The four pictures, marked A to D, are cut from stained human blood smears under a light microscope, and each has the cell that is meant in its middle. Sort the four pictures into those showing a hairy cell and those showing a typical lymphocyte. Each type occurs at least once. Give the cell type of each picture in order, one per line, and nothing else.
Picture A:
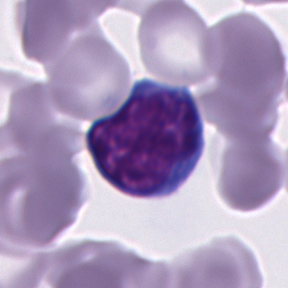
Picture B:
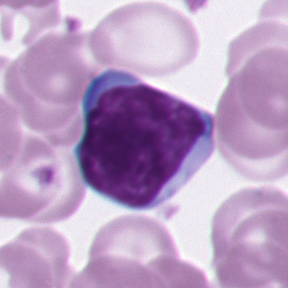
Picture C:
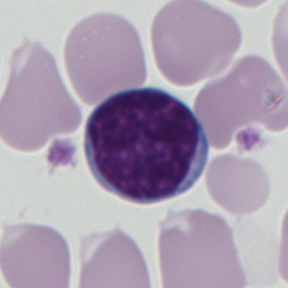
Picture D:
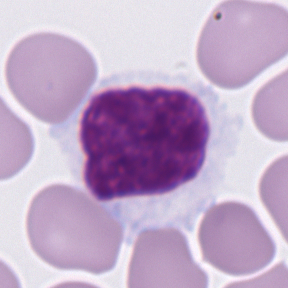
typical lymphocyte
typical lymphocyte
typical lymphocyte
hairy cell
